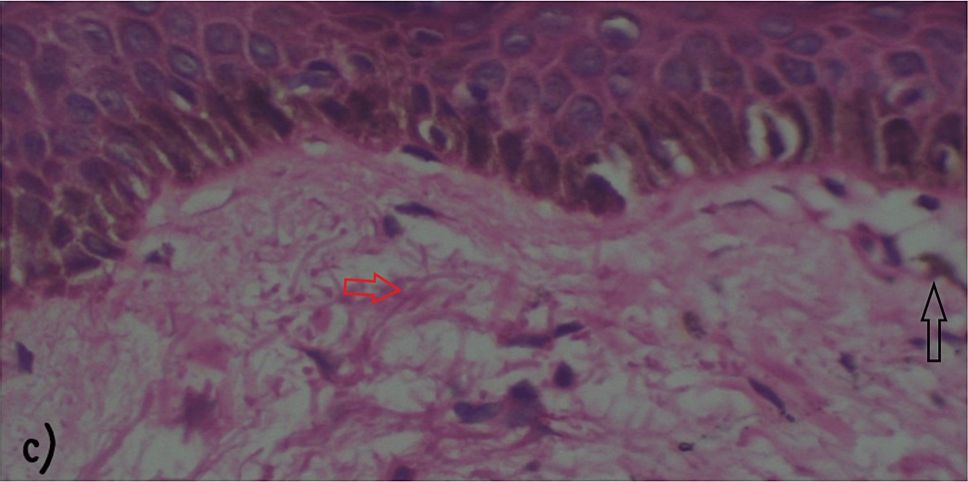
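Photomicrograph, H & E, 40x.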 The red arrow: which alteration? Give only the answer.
thinning of collagen fibrils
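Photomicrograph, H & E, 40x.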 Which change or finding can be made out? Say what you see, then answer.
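Hyperpigmentation of the basal layer of the epidermis. The lowest row of epidermal cells, just above the dermis, is filled with brown pigment. The epidermal cells above this row are much paler, with little brown pigment.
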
